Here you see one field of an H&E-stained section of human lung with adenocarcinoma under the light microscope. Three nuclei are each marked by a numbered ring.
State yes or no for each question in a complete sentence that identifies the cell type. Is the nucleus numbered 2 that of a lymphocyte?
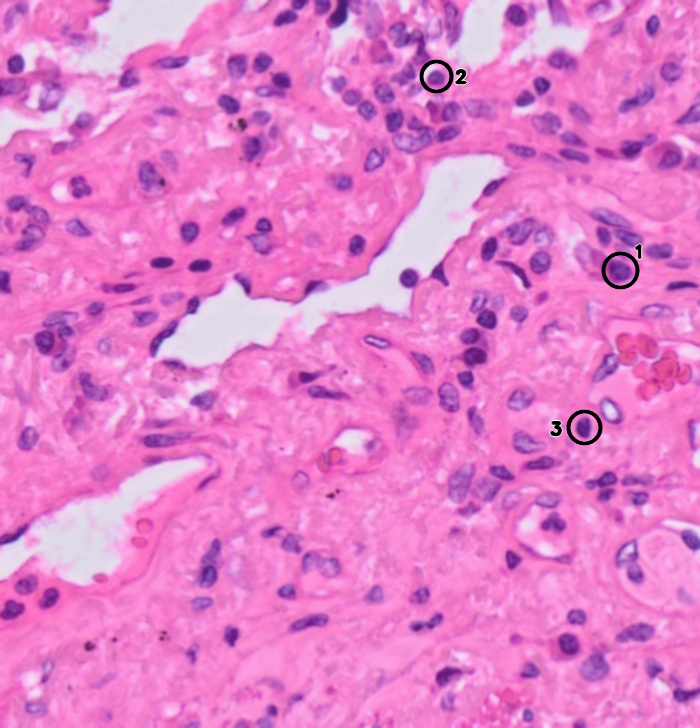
Yes, the number 2 belongs to a lymphocyte.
